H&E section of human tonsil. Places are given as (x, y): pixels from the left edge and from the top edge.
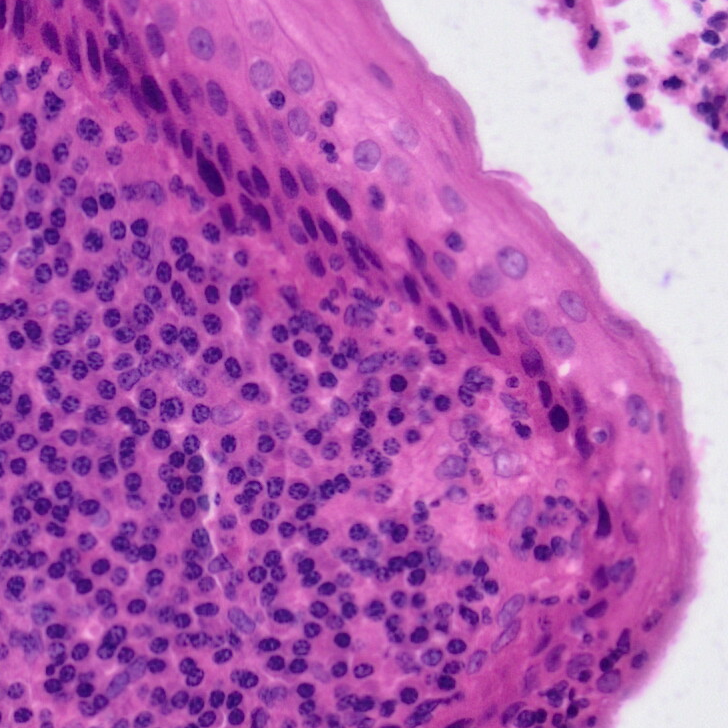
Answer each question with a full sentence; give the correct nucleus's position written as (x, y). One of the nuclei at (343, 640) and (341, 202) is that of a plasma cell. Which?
Heads up, the nucleus at (343, 640) is the one that belongs to a plasma cell.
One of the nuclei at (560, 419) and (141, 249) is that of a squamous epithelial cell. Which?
The nucleus at (560, 419) is contained in a squamous epithelial cell.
